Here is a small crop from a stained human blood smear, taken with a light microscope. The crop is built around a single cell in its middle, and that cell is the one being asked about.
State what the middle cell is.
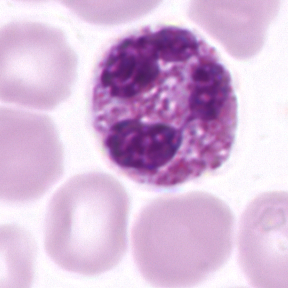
eosinophil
